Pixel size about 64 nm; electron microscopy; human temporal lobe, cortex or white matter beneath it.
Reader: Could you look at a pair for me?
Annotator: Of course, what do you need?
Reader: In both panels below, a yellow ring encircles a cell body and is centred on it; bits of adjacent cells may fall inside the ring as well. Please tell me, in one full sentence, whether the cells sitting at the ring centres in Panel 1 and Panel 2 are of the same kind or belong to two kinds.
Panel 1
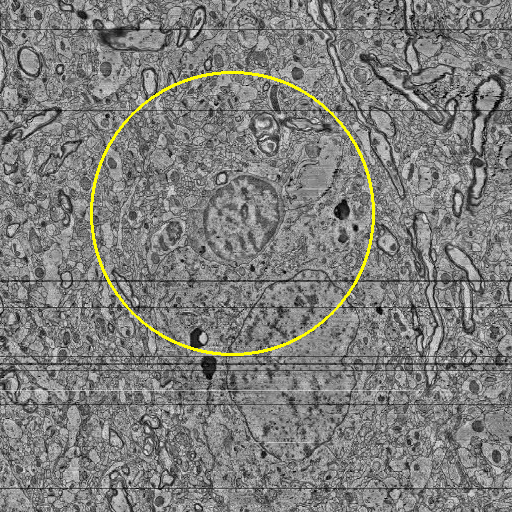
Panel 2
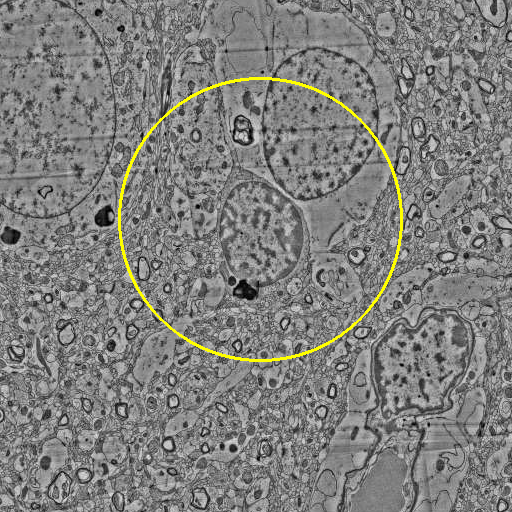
The cell at the ring's centre in Panel 1 and the one in Panel 2 are of the same kind.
